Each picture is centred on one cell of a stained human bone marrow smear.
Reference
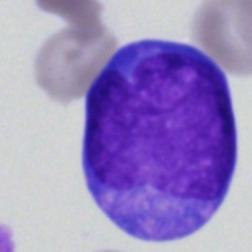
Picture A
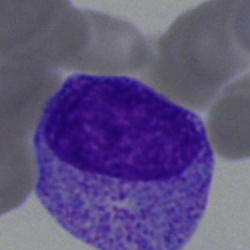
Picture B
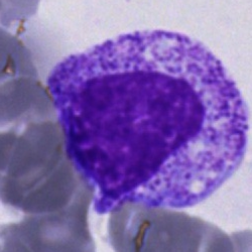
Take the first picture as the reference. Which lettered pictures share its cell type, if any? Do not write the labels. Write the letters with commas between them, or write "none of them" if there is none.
none of them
